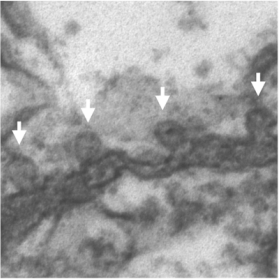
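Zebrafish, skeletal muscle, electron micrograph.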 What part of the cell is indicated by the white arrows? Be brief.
Caveloae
